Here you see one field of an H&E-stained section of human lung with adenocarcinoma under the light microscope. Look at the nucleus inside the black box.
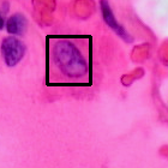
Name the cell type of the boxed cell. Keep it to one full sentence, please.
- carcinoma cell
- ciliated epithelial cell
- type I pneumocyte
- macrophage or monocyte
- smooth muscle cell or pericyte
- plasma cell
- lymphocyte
Among the cells in this section, the boxed cell is a macrophage or monocyte.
